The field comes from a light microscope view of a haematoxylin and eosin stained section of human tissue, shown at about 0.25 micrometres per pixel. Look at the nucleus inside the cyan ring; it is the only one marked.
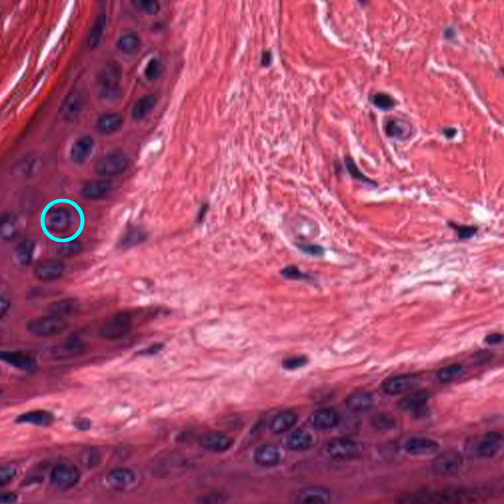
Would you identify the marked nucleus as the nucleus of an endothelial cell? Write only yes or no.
no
